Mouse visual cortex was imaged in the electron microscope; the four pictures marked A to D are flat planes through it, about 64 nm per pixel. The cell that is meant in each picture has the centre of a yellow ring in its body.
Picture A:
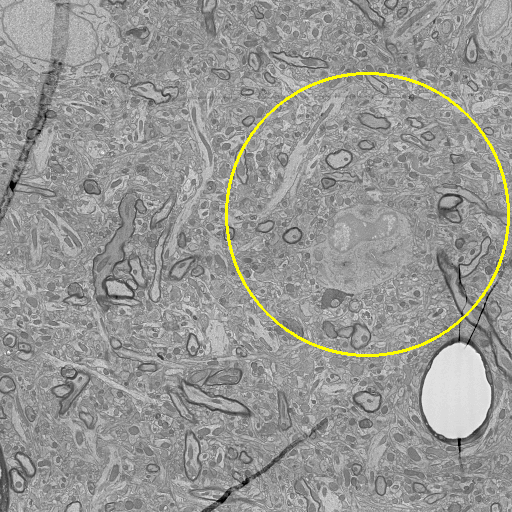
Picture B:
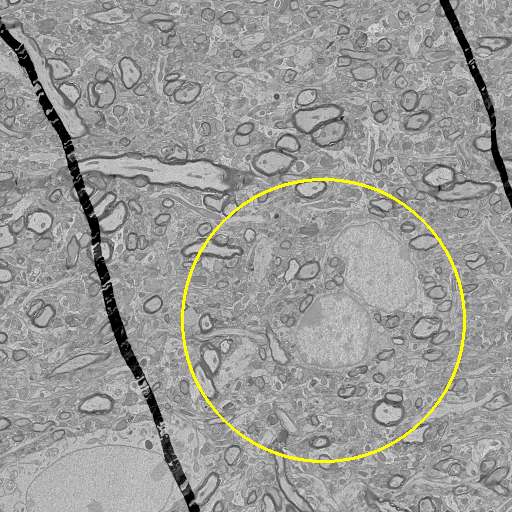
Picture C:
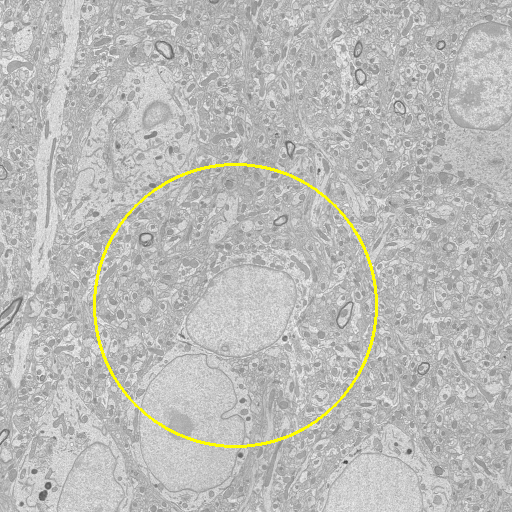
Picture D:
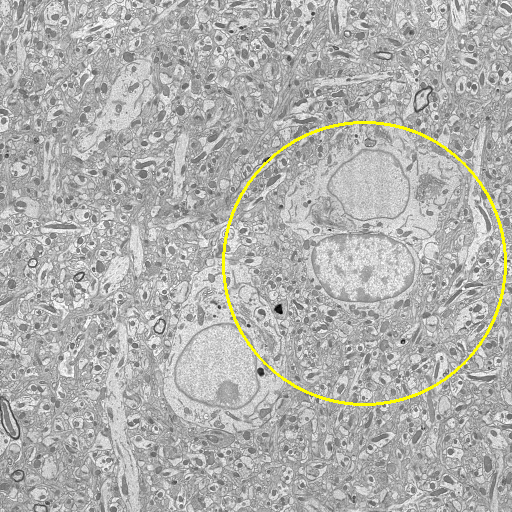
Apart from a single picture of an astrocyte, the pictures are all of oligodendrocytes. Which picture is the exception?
Picture C is the one that shows the astrocyte.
